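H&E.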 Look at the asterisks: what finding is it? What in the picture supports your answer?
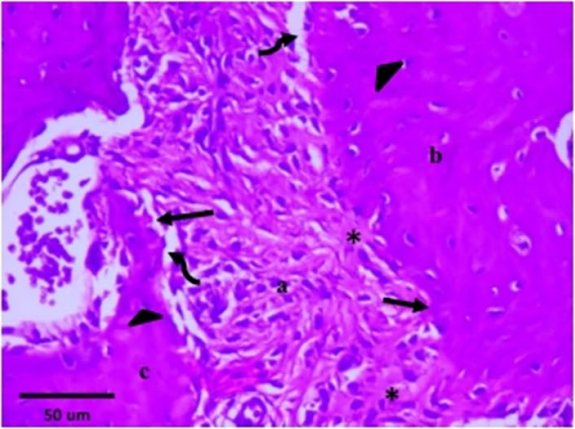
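Hyaline degeneration. The fibrous tissue near the asterisks looks glassy and structureless. Fiber pattern is lost in these areas.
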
